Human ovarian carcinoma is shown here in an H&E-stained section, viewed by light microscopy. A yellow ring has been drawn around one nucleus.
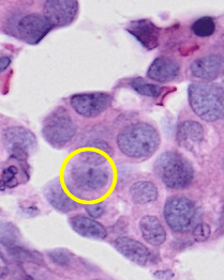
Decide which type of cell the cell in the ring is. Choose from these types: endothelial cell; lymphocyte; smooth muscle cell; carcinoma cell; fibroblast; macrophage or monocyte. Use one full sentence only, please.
In this preparation, the cell in the ring is a carcinoma cell.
